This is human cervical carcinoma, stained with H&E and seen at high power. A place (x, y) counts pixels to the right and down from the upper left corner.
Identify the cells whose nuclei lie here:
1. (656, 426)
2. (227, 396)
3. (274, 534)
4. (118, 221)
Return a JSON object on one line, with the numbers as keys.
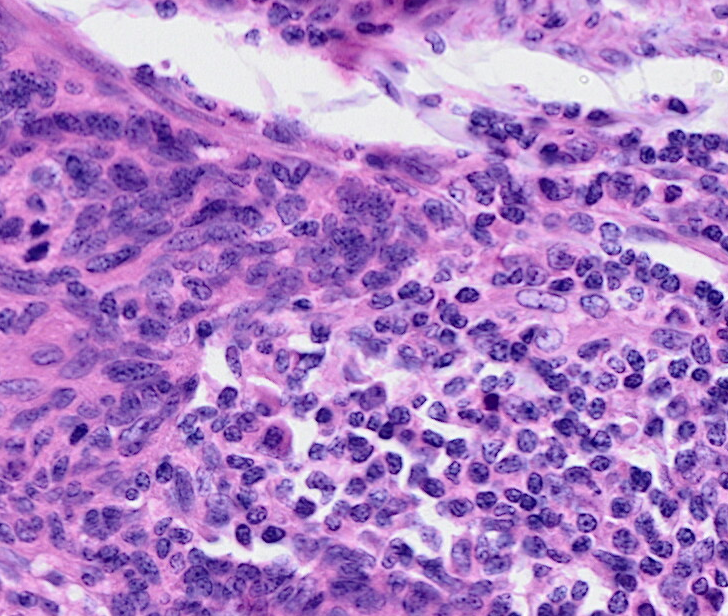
{"1": "lymphocyte", "2": "lymphocyte", "3": "lymphocyte", "4": "squamous carcinoma cell"}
